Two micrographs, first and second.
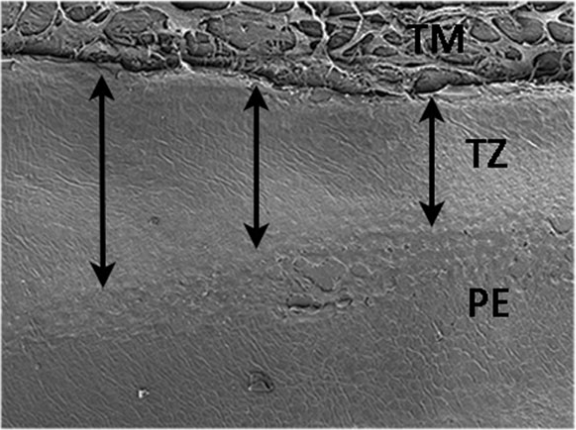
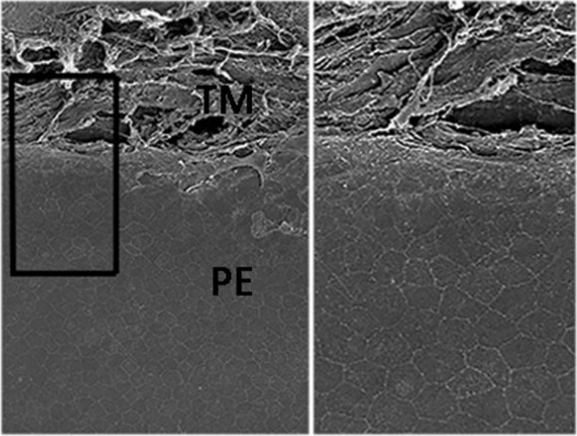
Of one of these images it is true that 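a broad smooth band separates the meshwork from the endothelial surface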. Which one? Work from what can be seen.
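First image: a wide smooth band lies between the fibrous meshwork at top and the endothelial surface below. Second image: the fibrous meshwork edge passes directly onto the flat endothelial surface with polygonal cell borders, without a separating band. That points to this answer: the first image.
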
